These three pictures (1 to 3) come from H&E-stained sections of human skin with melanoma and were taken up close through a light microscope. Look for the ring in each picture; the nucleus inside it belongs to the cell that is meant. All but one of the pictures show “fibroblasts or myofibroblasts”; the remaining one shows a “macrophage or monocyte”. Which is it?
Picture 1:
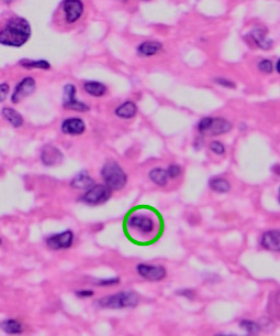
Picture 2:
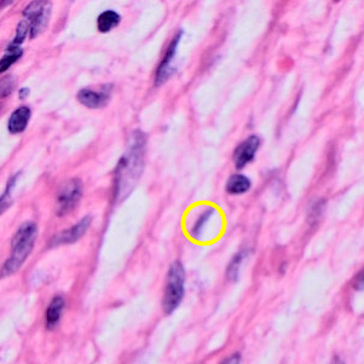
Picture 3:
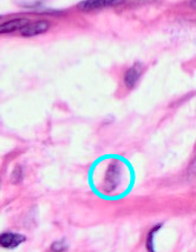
1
